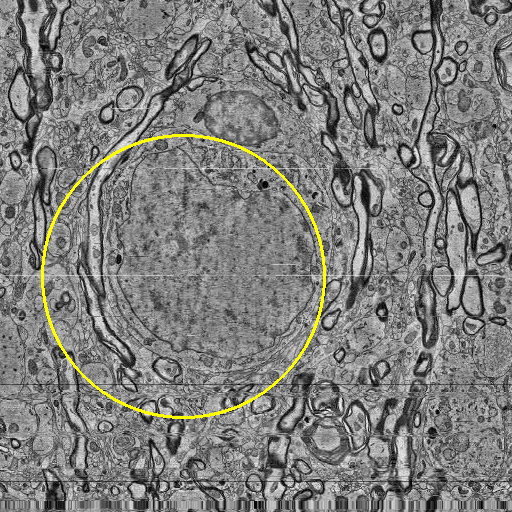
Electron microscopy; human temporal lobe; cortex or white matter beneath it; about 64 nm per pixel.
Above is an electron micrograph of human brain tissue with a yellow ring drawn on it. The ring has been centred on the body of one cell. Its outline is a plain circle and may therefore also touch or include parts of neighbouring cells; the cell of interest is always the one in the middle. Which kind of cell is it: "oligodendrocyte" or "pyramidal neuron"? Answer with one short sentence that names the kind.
The ring's central cell body is that of a pyramidal neuron.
